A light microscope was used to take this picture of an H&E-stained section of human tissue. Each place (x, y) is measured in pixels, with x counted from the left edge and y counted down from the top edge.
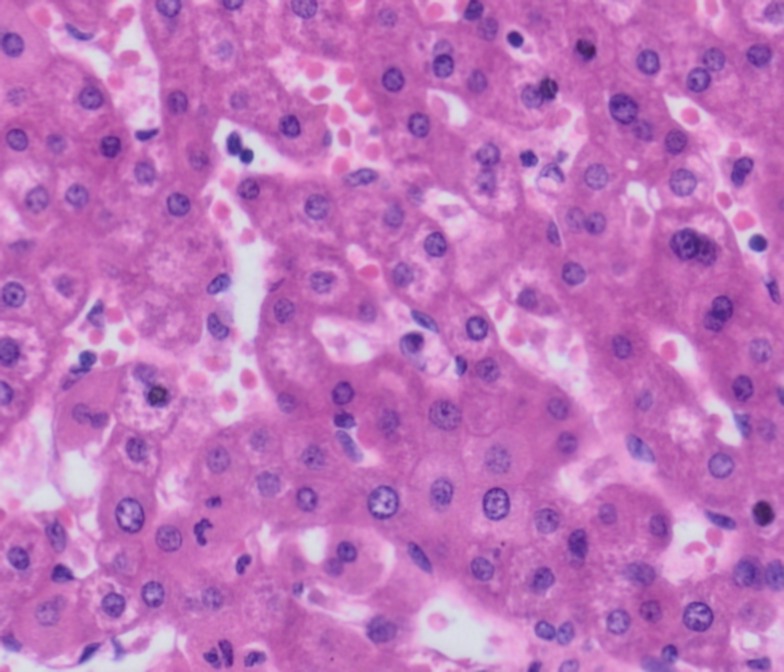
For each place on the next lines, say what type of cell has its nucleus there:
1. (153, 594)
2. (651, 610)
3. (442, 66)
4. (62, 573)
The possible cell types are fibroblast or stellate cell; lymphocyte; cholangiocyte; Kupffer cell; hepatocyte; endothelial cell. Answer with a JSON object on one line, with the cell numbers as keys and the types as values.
{"1": "hepatocyte", "2": "hepatocyte", "3": "hepatocyte", "4": "fibroblast or stellate cell"}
